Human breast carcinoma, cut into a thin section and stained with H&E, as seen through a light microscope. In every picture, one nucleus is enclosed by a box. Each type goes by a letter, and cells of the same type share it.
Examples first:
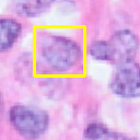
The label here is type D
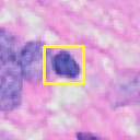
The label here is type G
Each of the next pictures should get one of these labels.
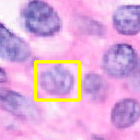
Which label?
type D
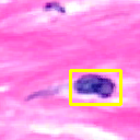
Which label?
type G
